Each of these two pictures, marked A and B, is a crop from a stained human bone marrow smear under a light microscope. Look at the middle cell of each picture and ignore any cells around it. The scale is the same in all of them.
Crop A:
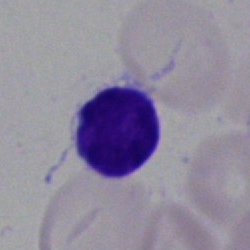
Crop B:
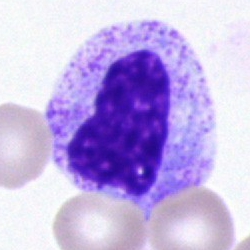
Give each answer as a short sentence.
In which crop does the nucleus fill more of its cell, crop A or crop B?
The nucleus fills more of the cell in crop A than in crop B.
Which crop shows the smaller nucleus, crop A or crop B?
Crop A shows the smaller nucleus, since that in crop B covers about 2 times as much area.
